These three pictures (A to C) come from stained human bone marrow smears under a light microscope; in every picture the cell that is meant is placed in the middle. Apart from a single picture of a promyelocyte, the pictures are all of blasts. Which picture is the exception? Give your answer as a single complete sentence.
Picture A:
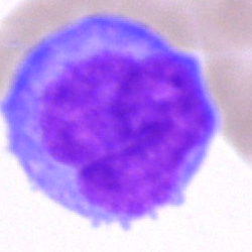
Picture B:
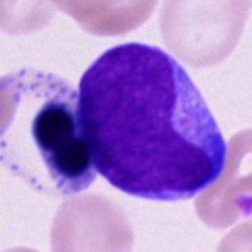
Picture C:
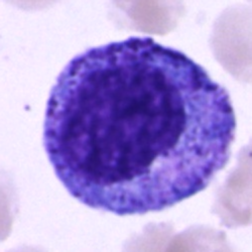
The promyelocyte is the one in picture C.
